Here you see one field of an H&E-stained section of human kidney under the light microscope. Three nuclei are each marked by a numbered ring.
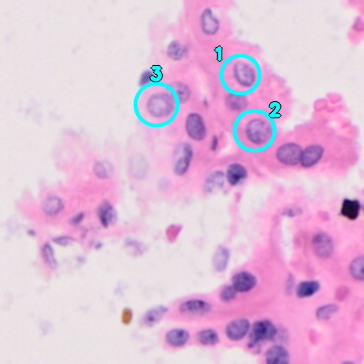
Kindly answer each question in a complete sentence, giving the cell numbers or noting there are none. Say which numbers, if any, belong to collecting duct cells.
Of the numbered nuclei, only the one labelled 3 belongs to a collecting duct cell.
